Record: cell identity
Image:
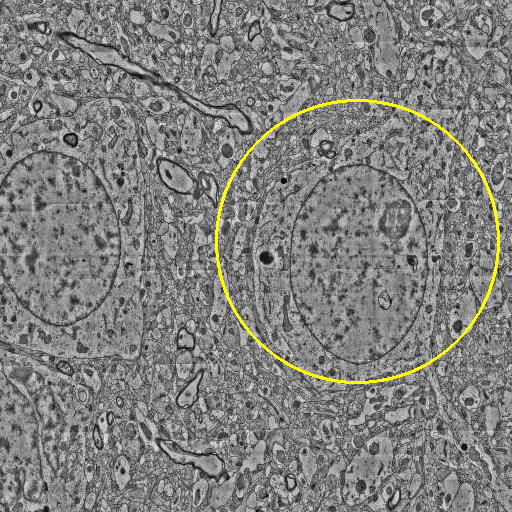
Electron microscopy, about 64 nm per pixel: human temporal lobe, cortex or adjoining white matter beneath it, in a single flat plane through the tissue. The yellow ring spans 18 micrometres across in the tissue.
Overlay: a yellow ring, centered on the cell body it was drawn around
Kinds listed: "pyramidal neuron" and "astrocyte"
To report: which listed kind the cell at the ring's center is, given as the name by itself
pyramidal neuron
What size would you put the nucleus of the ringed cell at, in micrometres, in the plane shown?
The nucleus comes to roughly 13 by 9 micrometres in this plane.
